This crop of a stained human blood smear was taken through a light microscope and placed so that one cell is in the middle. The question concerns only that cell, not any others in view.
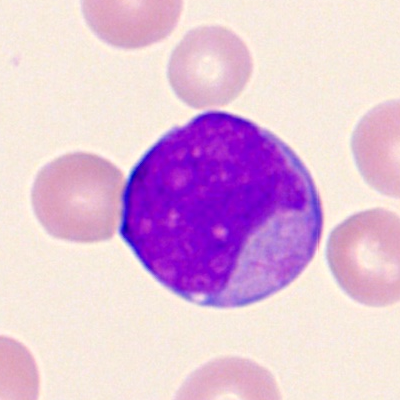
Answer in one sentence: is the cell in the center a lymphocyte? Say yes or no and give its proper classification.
No, the one in the center is not a lymphocyte; it is a myeloblast.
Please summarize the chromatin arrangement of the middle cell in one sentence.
The nuclear chromatin is fine, showing no coarse aggregates.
